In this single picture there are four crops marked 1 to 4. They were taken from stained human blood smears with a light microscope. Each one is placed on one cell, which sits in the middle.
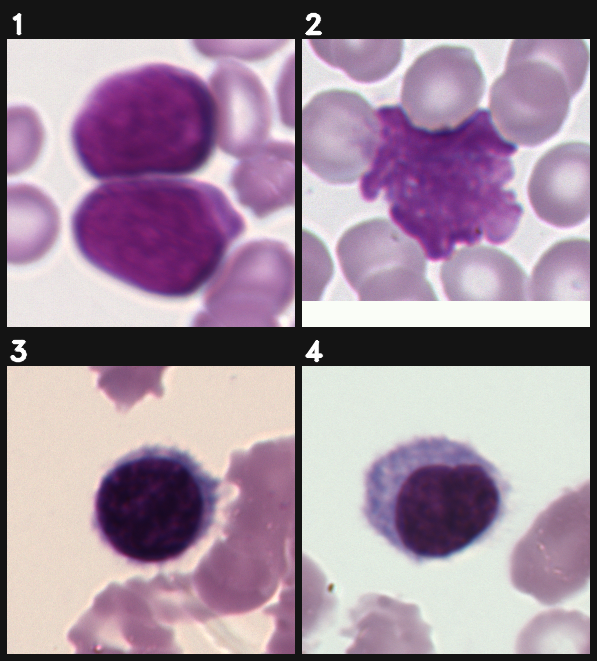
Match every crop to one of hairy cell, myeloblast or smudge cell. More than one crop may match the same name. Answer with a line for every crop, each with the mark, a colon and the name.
1: myeloblast
2: smudge cell
3: hairy cell
4: hairy cell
